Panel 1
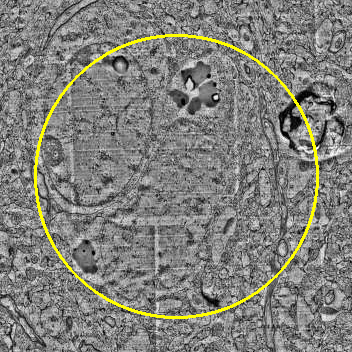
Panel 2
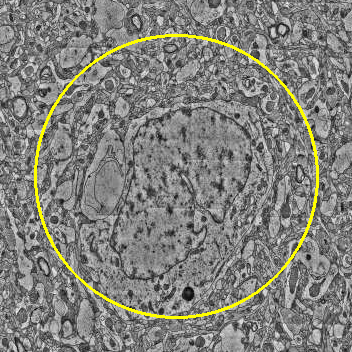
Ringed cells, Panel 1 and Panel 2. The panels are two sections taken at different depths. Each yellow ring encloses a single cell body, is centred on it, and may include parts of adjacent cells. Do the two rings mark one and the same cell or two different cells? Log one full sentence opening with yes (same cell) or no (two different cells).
No, it is two different cells that the rings mark.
